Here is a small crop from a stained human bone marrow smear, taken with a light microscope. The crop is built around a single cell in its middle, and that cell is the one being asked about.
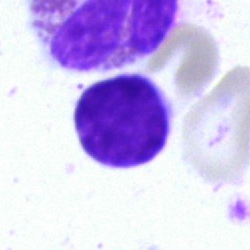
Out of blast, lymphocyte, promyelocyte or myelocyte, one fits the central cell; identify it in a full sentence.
The cell in the middle of this crop is a lymphocyte.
